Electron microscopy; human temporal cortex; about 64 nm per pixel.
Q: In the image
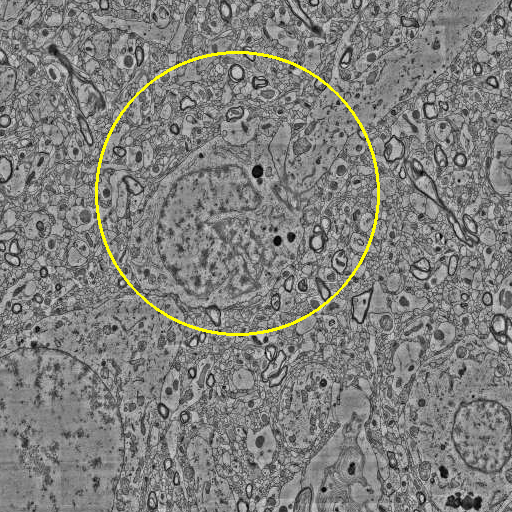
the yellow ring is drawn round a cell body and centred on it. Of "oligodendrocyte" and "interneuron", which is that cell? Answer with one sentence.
The cell centred in the ring is an interneuron.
